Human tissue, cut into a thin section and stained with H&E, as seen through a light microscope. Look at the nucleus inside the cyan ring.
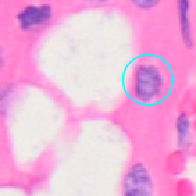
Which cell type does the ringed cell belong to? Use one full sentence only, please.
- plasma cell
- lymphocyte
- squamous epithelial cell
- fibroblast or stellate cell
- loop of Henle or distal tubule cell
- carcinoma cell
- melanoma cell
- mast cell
Microscopically, the ringed cell is categorized as a loop of Henle or distal tubule cell.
